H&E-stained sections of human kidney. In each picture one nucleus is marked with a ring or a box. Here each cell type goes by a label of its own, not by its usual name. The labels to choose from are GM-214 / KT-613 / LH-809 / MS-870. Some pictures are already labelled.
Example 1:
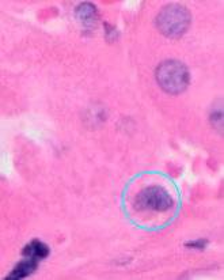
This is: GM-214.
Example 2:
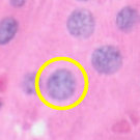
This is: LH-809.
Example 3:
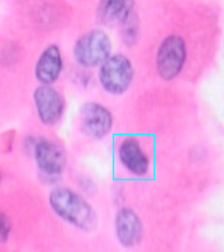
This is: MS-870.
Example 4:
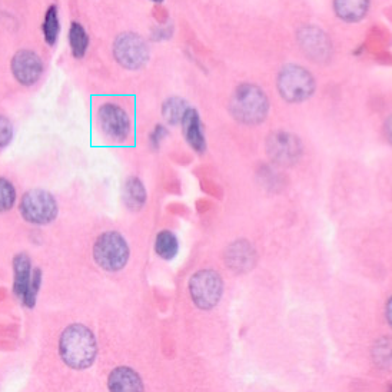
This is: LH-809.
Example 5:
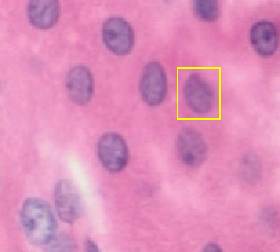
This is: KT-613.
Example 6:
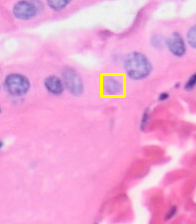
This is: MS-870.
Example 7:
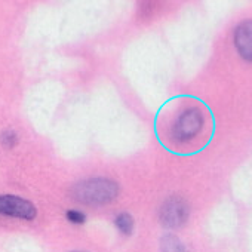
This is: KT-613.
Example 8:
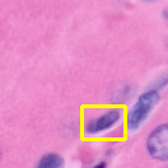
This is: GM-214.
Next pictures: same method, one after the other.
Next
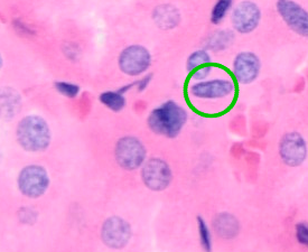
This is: MS-870.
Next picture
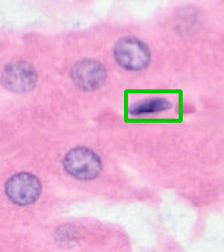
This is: GM-214.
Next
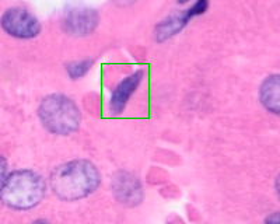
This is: GM-214.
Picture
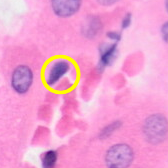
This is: GM-214.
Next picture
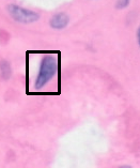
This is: GM-214.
